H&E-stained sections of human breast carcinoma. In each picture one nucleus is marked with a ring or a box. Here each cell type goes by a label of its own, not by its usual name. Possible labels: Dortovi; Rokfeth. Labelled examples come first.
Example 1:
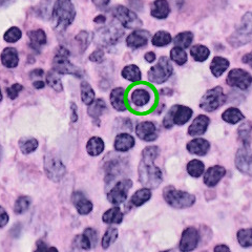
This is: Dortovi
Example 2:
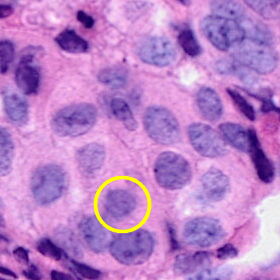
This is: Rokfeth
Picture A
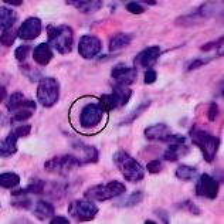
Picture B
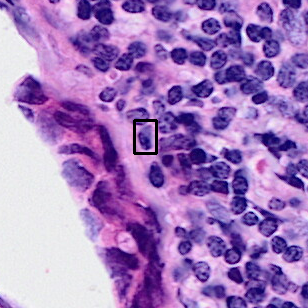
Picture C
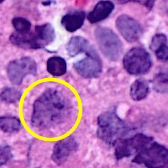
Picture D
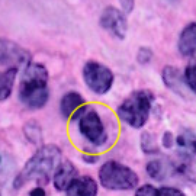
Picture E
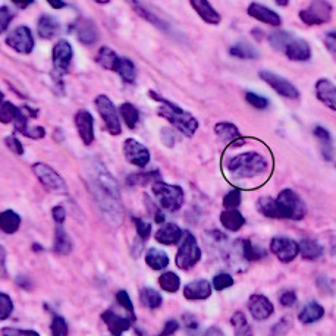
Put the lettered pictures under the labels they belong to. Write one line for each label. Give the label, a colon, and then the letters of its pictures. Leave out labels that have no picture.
Dortovi: A, B, D, E
Rokfeth: C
